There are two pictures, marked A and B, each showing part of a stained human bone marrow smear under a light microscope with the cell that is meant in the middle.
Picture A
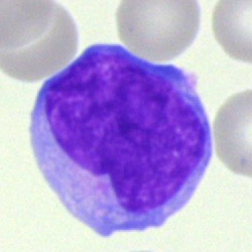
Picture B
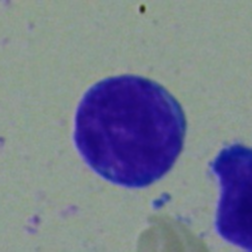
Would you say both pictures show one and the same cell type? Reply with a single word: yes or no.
yes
